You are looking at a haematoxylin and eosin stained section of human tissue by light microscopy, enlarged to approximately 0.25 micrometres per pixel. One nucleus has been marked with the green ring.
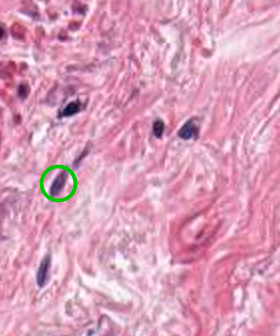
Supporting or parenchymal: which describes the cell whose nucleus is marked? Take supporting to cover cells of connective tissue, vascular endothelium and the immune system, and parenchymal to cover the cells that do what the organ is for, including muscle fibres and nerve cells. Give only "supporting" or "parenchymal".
supporting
